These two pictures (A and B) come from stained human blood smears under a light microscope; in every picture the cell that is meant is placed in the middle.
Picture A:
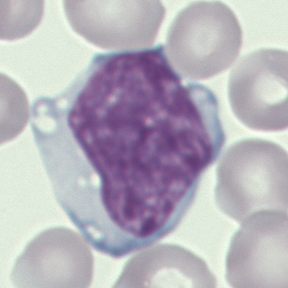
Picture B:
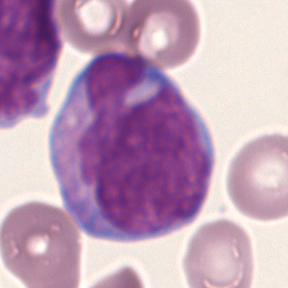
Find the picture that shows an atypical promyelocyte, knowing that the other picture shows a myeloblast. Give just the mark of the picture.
B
